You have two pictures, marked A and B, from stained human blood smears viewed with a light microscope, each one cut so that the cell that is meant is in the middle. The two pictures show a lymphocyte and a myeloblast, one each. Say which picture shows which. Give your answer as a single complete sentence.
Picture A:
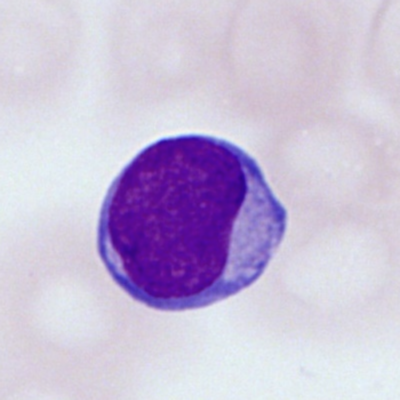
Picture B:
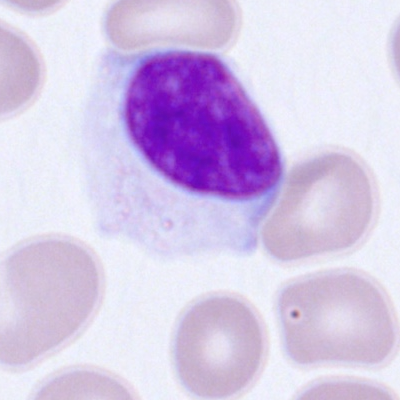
Picture A shows a myeloblast and picture B shows a lymphocyte.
